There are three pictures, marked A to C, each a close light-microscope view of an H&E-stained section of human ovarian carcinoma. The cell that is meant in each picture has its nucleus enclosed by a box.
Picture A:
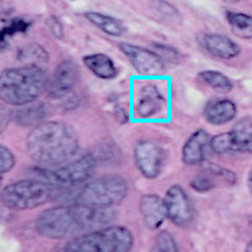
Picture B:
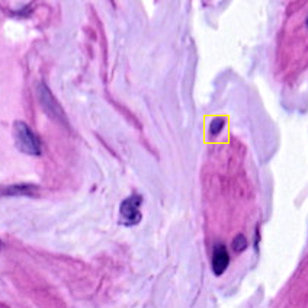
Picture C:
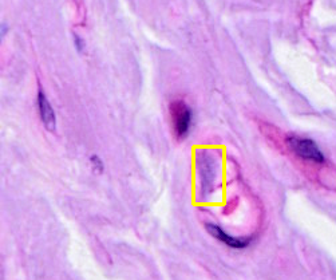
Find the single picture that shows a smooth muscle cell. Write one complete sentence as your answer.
It is picture B that shows the smooth muscle cell.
